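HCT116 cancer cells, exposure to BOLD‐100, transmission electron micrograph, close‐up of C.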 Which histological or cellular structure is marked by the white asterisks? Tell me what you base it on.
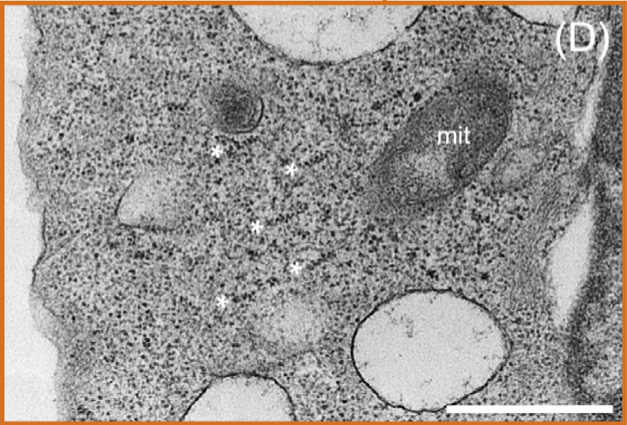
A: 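The asterisks lie in cytoplasm crowded with small dark granules. The granules gather into small groups and short chains. That points to this answer: clusters of polyribosomes.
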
